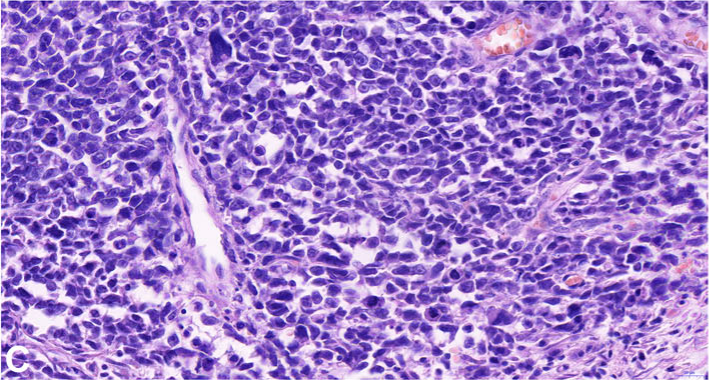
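This field of a sarcomatoid malignant tumour is made of highly atypical spindle cells and bizarre cells packed in sheets with little stroma between them. The nuclei are large, dark purple and vary greatly in size and shape, some oval, some elongated, some irregular, with scant pale pink cytoplasm around them. At the upper left one cell holds a very large, dark, bizarre nucleus. Thin-walled vessels with red blood cells run through the sheet.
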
